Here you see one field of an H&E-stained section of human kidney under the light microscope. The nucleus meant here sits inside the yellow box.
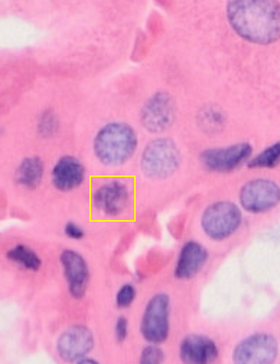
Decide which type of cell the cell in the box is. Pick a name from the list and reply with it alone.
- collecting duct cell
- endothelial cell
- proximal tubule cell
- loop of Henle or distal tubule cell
loop of Henle or distal tubule cell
